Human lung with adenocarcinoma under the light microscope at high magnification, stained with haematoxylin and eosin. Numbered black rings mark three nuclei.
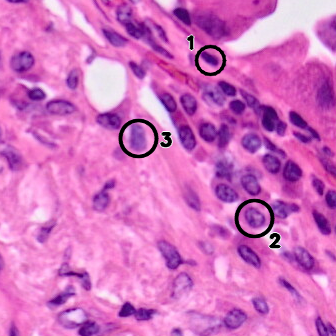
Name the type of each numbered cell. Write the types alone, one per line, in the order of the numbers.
lymphocyte
plasma cell
lymphocyte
